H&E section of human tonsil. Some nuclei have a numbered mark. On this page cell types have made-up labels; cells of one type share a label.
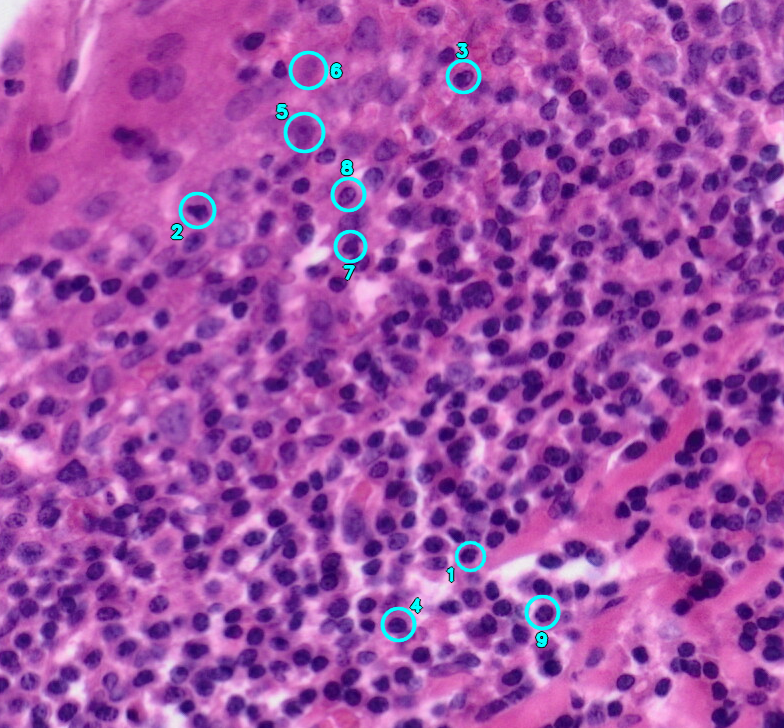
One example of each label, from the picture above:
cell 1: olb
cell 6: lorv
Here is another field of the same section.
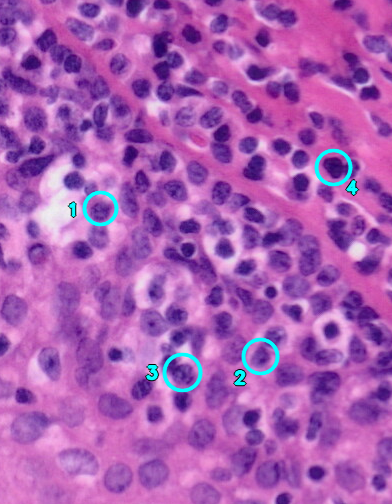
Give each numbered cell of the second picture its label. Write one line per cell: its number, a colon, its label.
1: olb
2: lorv
3: olb
4: olb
